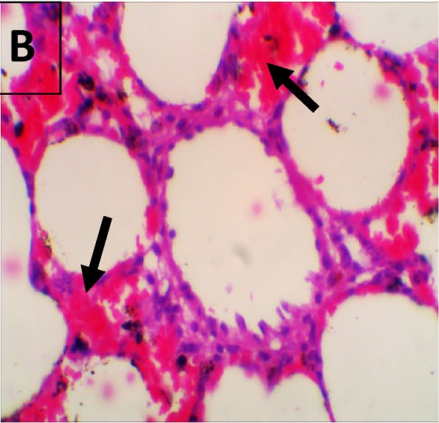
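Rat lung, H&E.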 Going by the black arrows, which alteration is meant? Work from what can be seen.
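The arrows point to bright red masses of red blood cells. The red areas lie within and beside the alveolar walls.
Hence: hemorrhages.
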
